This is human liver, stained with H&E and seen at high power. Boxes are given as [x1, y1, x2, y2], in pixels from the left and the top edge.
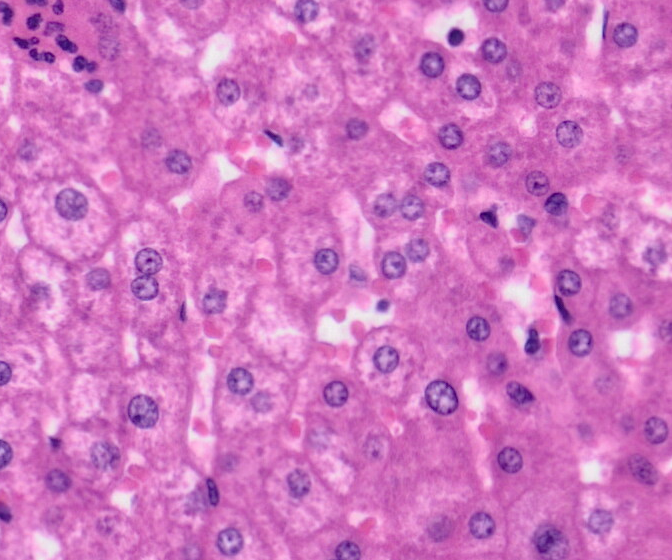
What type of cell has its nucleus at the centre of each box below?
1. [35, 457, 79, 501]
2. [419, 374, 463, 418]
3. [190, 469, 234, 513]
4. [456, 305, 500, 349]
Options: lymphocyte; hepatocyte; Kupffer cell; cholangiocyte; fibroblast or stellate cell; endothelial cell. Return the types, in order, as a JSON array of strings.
["hepatocyte", "hepatocyte", "fibroblast or stellate cell", "hepatocyte"]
